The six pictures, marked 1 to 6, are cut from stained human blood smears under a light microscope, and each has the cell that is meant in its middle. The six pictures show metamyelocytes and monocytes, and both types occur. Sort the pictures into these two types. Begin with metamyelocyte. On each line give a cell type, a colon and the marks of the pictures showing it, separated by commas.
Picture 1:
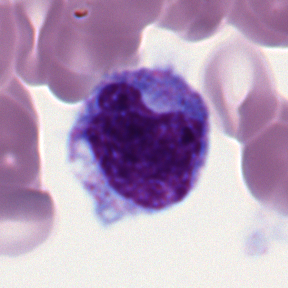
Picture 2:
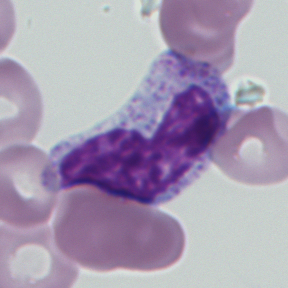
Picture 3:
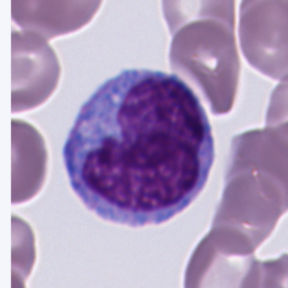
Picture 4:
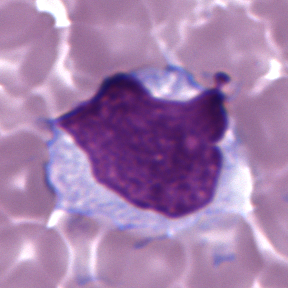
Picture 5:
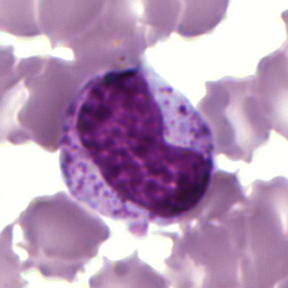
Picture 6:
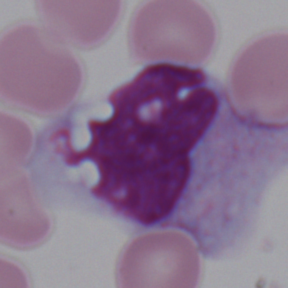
metamyelocyte: 2, 5
monocyte: 1, 3, 4, 6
